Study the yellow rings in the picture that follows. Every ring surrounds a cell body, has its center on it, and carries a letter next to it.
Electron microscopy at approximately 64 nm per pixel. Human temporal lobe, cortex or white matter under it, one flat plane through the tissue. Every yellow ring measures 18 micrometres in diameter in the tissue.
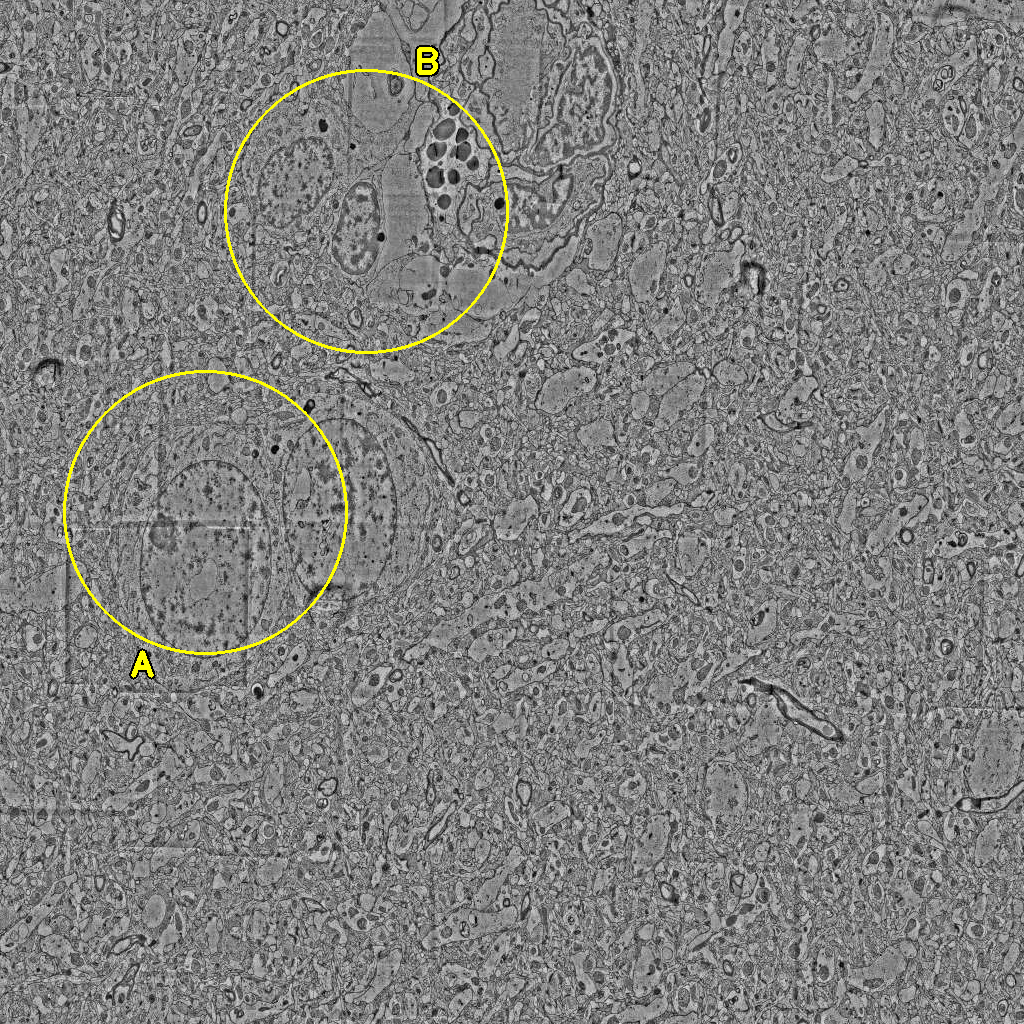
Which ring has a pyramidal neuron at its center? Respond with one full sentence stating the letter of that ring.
The ring centered on the cell asked for carries the letter A.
